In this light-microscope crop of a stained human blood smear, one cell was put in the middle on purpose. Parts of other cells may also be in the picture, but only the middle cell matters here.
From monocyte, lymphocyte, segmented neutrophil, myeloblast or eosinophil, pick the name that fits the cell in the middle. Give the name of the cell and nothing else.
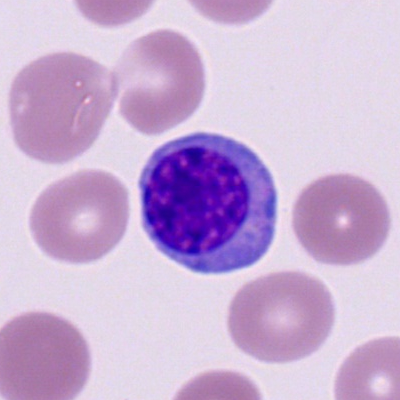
lymphocyte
